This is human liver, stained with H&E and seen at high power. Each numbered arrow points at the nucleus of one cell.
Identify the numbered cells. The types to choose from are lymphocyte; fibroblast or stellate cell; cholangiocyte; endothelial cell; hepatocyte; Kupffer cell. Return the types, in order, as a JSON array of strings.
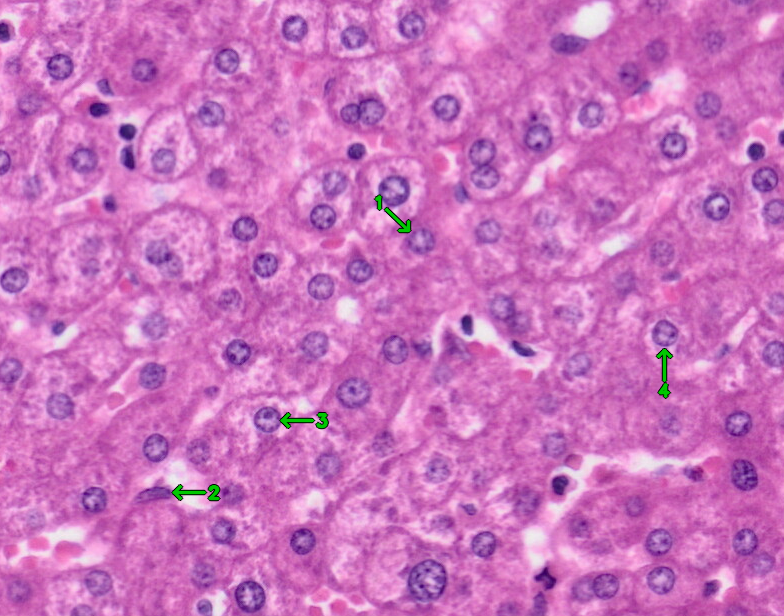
["hepatocyte", "Kupffer cell", "hepatocyte", "hepatocyte"]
